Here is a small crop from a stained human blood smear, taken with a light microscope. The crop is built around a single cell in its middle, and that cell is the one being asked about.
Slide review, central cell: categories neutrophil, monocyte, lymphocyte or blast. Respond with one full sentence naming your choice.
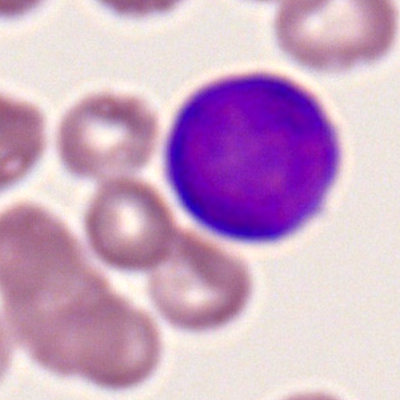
In the centre of this crop there is a blast.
